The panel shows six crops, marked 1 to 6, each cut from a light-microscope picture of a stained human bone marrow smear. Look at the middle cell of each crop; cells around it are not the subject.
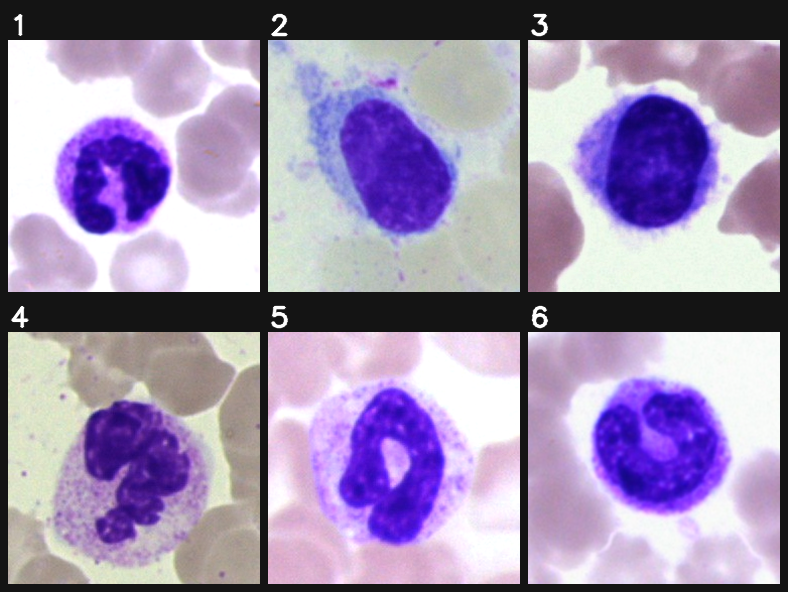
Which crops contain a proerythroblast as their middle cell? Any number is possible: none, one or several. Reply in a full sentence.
Absent from the centre of every crop is a proerythroblast.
